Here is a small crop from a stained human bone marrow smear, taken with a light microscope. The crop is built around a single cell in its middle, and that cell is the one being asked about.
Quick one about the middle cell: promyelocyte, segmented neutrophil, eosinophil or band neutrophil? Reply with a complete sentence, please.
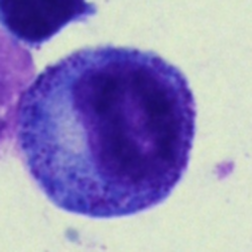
The cell around which this crop is centred is a promyelocyte.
